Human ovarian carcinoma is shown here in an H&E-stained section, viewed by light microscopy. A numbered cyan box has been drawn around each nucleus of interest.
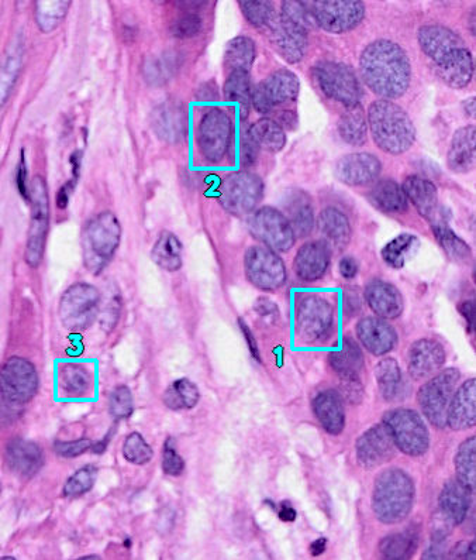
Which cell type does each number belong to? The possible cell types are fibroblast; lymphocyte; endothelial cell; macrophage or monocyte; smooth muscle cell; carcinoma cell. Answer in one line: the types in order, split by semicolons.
carcinoma cell; carcinoma cell; fibroblast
